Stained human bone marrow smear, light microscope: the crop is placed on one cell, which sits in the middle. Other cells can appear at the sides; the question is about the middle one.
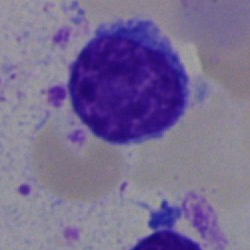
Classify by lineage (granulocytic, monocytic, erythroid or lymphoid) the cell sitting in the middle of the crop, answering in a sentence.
The cell at the center of the crop has lymphoid lineage.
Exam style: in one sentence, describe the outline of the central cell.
In outline, the cell is irregular, ragged in stretches or drawn into projections.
